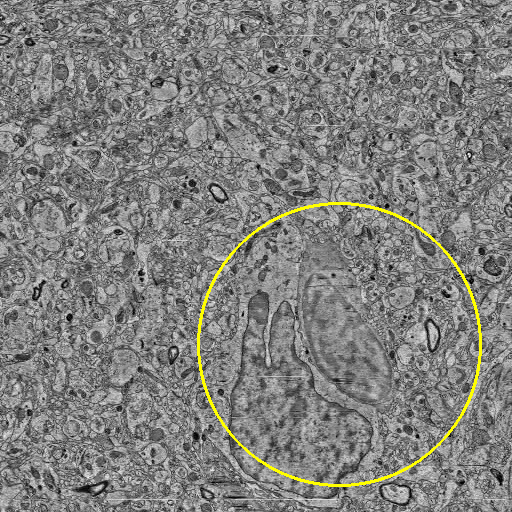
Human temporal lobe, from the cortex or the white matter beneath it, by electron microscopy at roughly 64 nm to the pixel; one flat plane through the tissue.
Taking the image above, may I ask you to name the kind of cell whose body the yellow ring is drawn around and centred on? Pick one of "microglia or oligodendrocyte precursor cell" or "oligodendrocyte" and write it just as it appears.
oligodendrocyte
